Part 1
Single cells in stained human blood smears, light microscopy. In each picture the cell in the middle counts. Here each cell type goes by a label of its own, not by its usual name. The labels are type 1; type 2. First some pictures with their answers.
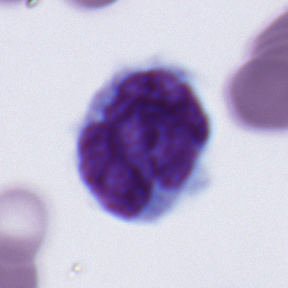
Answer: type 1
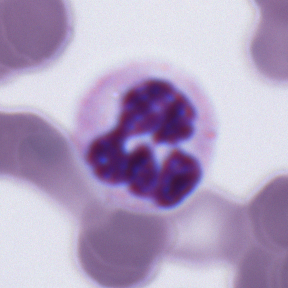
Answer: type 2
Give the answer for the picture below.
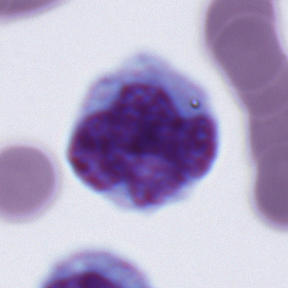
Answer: type 1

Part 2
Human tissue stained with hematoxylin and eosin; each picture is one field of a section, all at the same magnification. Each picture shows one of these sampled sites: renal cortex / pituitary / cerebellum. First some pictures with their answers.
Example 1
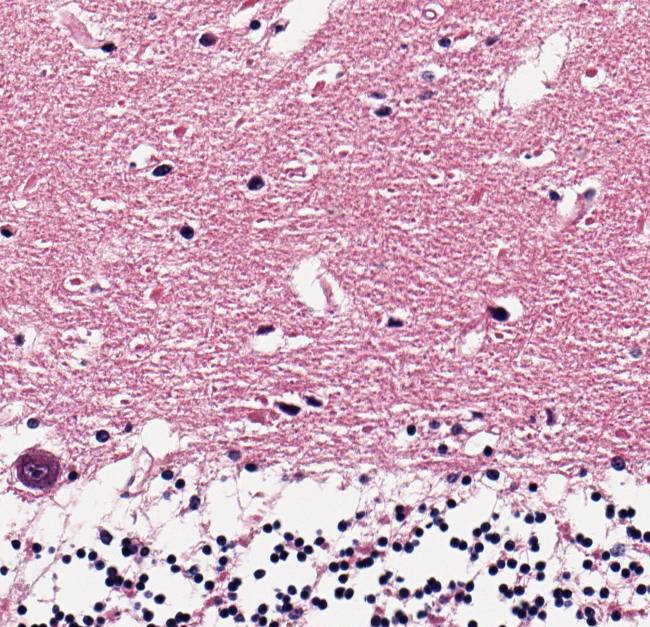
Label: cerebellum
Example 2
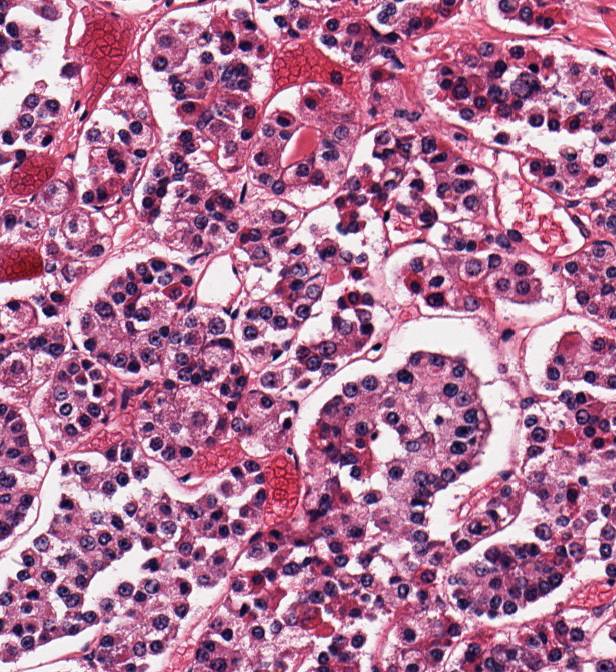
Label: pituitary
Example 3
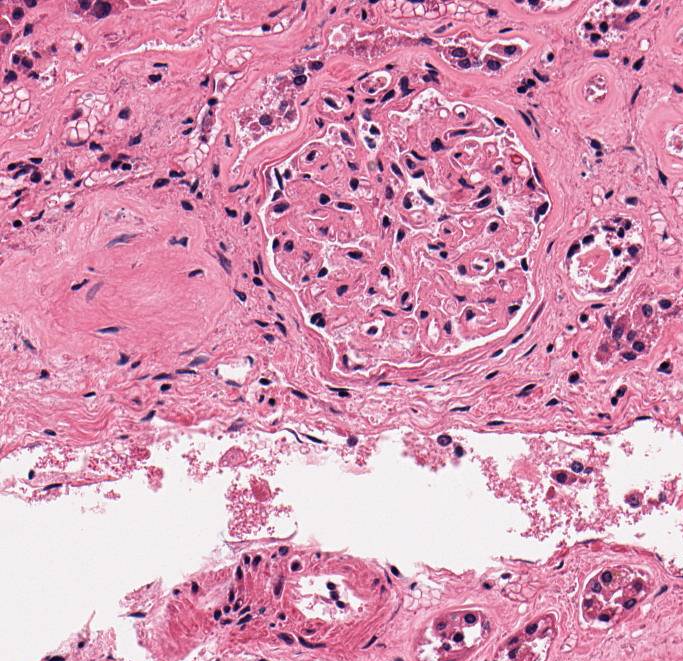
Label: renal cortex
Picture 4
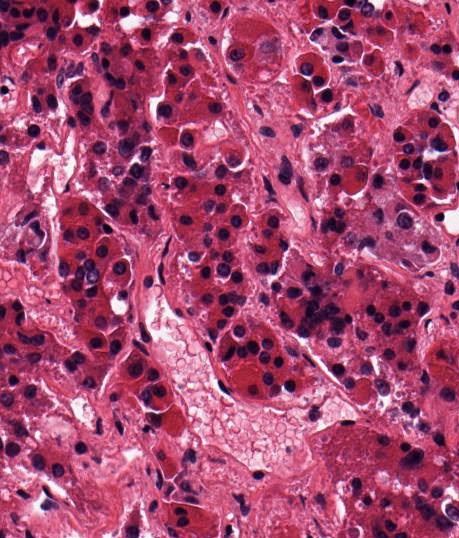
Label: pituitary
